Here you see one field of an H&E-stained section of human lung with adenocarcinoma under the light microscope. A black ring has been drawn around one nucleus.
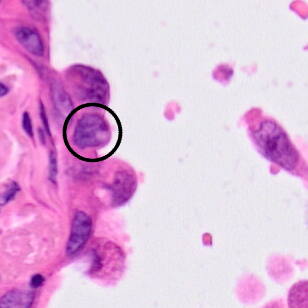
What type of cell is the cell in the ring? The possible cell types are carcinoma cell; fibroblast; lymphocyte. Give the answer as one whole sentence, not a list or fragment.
In this field of tissue, the cell in the ring is a carcinoma cell.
